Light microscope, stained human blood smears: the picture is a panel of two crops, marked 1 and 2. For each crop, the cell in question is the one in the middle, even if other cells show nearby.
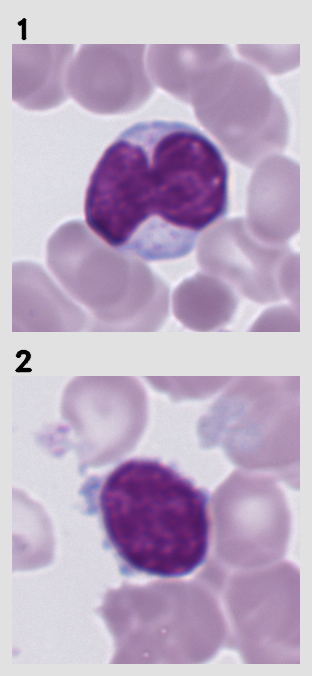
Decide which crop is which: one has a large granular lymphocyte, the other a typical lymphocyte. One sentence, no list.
The middle of crop 1 is occupied by a large granular lymphocyte, and the middle of crop 2 by a typical lymphocyte.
